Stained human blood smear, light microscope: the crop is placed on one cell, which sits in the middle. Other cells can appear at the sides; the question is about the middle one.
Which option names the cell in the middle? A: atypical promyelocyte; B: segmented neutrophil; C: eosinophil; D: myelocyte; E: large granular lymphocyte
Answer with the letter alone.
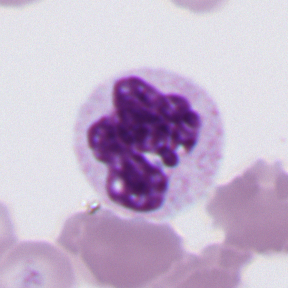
B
